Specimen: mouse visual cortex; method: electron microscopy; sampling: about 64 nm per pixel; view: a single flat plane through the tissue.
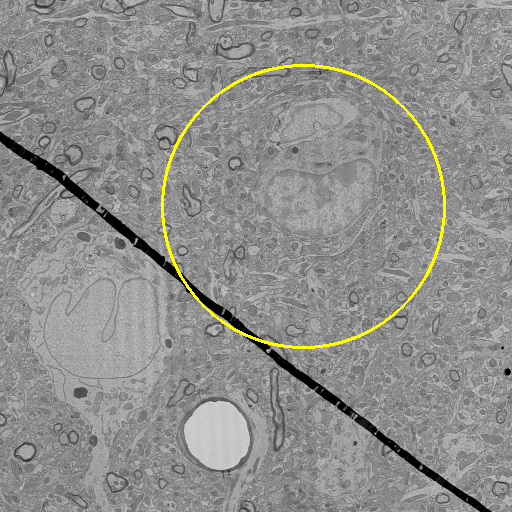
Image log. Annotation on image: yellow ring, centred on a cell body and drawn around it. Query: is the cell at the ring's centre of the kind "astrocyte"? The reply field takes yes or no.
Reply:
no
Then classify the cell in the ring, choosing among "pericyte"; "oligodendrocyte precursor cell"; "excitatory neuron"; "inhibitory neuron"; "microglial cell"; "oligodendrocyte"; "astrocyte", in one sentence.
The cell at the middle of the ring is an oligodendrocyte.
